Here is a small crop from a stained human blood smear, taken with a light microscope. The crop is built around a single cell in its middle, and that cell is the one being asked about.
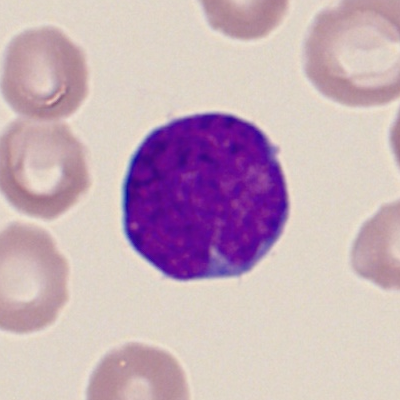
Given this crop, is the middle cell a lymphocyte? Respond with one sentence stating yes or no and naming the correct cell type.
No, that guess of a lymphocyte misses; the central cell is a blast.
